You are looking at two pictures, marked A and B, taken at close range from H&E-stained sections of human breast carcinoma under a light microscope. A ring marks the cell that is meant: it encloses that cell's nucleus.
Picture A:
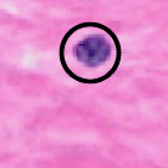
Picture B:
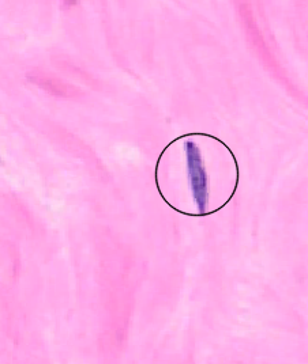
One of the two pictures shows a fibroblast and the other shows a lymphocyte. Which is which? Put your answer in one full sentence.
Picture A shows a lymphocyte and picture B shows a fibroblast.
